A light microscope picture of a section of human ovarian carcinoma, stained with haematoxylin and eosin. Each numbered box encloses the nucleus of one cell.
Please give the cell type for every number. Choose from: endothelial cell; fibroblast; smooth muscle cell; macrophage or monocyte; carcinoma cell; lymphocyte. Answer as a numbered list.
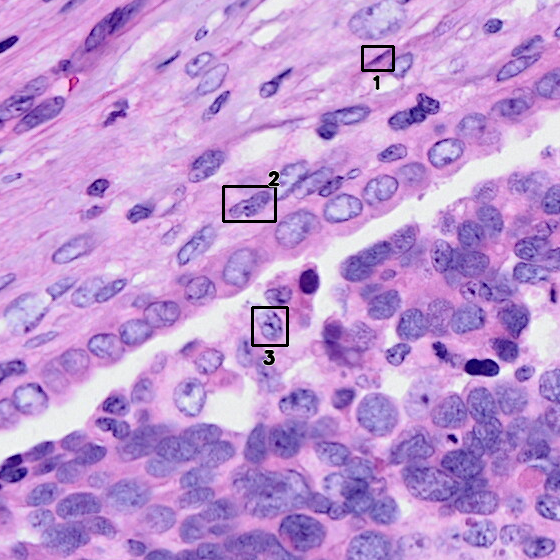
1. fibroblast
2. macrophage or monocyte
3. macrophage or monocyte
